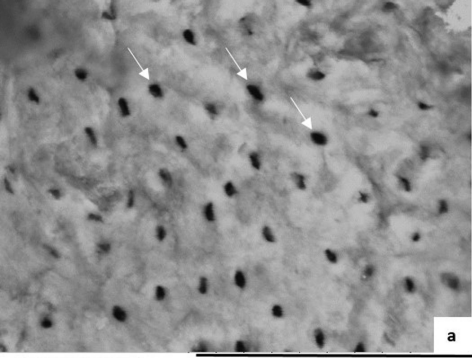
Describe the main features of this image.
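Surface view of dentin showing numerous tubule openings. The openings are small round to oval dark holes spread fairly evenly across a smooth, slightly mottled intertubular surface. The lumina appear empty and black, without material at their rims. No plugs or rings of deposit are seen within the openings.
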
